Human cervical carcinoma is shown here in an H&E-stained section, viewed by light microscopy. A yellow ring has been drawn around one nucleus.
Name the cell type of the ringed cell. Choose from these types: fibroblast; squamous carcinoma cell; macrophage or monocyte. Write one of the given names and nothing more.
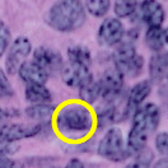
squamous carcinoma cell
